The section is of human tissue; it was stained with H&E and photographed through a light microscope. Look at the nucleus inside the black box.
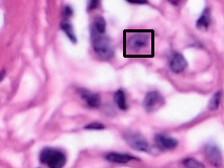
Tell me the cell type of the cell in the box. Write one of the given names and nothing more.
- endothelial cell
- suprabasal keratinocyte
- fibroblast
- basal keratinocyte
endothelial cell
